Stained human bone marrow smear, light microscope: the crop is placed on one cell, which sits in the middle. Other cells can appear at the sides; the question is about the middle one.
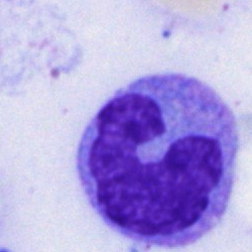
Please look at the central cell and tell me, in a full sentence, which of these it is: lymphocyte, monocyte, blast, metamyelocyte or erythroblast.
Of the cells in this crop, the central one is a monocyte.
